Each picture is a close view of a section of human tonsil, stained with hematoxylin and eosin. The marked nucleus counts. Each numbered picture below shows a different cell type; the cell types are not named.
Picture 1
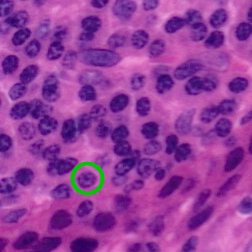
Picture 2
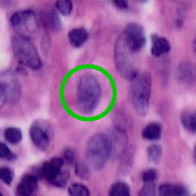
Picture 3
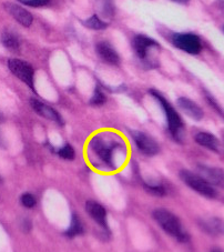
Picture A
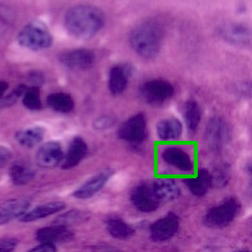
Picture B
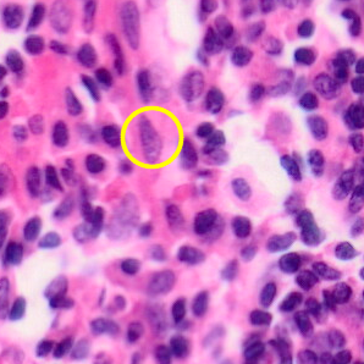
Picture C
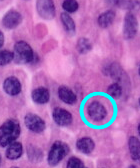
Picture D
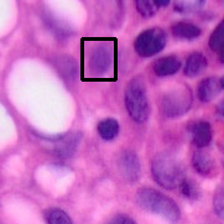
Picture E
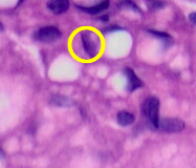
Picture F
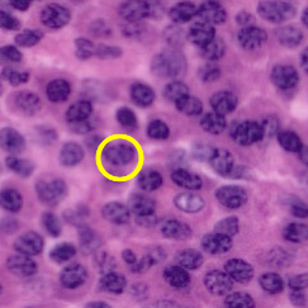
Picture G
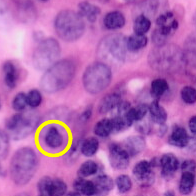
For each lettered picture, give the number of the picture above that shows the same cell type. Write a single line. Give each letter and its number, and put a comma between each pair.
A 3, B 2, C 1, D 3, E 3, F 1, G 2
